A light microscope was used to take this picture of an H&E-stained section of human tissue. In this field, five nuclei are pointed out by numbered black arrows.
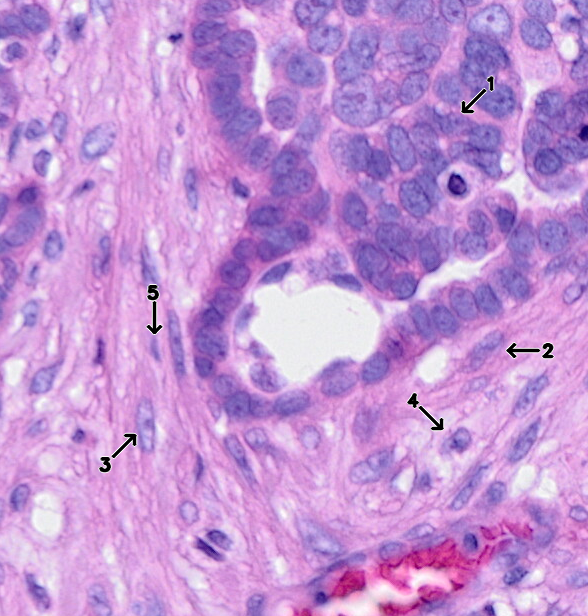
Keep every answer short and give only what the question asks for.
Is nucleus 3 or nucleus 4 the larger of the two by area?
3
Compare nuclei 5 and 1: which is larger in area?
1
